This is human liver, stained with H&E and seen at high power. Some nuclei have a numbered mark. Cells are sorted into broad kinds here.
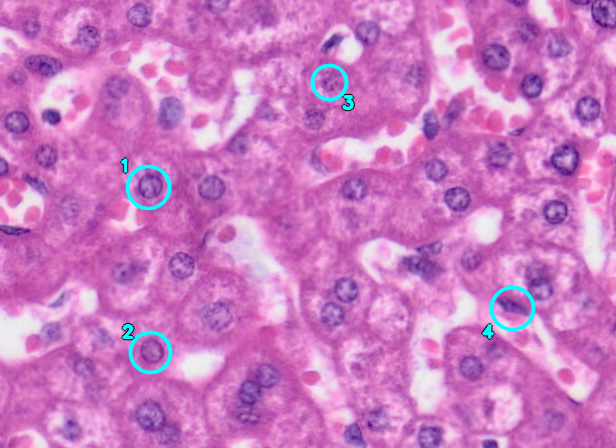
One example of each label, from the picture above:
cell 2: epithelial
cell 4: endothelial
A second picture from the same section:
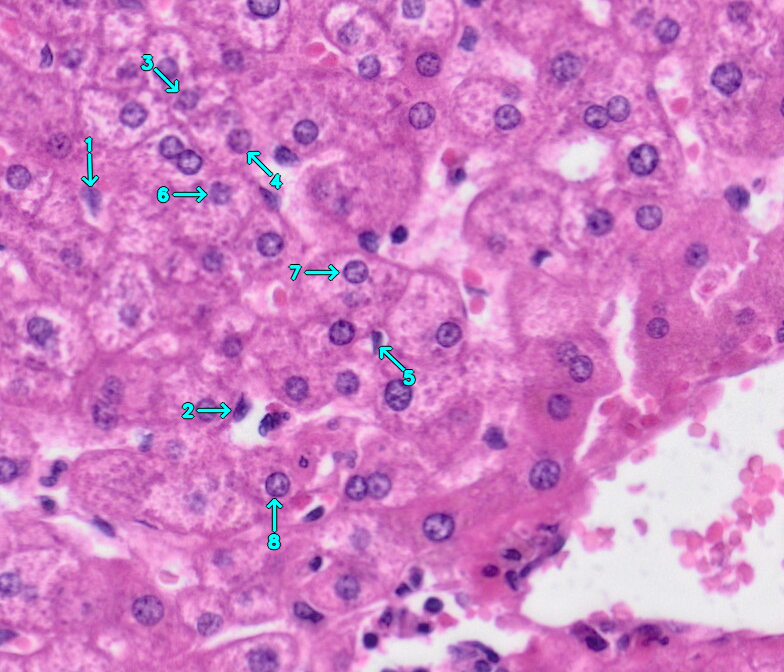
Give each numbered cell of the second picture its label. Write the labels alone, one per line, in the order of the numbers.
endothelial
endothelial
epithelial
epithelial
endothelial
epithelial
epithelial
epithelial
